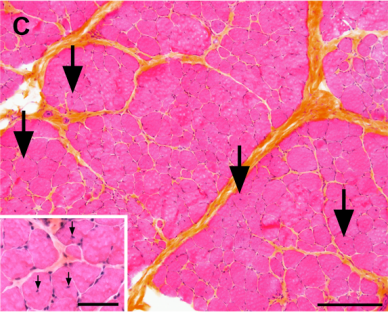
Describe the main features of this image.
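Cross-section of skeletal muscle with pink fibres of varied size crossed by thick yellow-orange fibrous bands that branch between fascicles and single fibres. In the inset at higher magnification, several fibres carry a dark nucleus in their interior, marking centronucleated fibres.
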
